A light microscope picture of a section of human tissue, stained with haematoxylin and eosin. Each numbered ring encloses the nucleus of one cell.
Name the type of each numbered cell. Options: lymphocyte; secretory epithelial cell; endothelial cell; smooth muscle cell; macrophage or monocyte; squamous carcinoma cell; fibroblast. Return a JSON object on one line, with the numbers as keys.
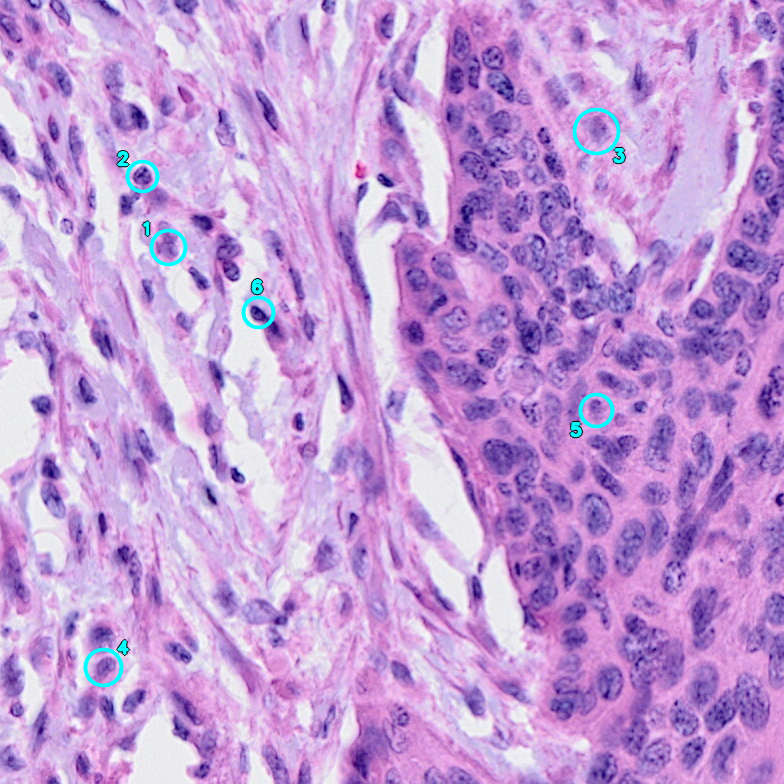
{"1": "macrophage or monocyte", "2": "lymphocyte", "3": "fibroblast", "4": "macrophage or monocyte", "5": "squamous carcinoma cell", "6": "lymphocyte"}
